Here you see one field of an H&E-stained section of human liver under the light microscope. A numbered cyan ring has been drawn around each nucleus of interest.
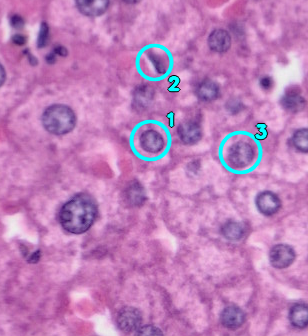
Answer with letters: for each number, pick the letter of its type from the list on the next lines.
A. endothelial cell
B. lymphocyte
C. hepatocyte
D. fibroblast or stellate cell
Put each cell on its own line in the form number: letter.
1: C
2: A
3: C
